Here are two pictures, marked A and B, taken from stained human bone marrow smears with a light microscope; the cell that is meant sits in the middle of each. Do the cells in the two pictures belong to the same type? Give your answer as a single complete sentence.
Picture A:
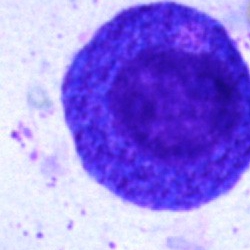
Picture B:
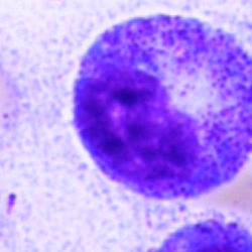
Yes, both cells are promyelocytes.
